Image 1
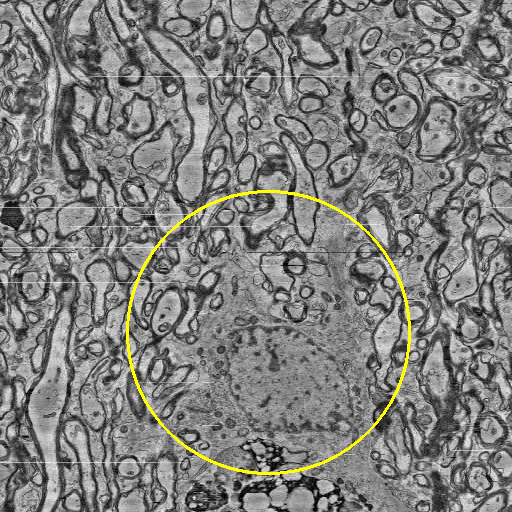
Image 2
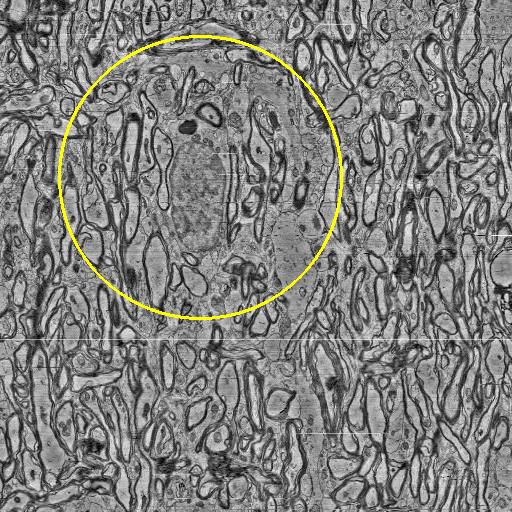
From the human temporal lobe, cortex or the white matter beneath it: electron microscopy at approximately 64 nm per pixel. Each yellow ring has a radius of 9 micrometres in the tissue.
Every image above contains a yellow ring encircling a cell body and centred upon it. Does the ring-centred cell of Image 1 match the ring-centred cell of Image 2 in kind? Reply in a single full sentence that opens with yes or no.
No, the cell at the ring's centre in Image 1 is a separate kind from that in Image 2.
